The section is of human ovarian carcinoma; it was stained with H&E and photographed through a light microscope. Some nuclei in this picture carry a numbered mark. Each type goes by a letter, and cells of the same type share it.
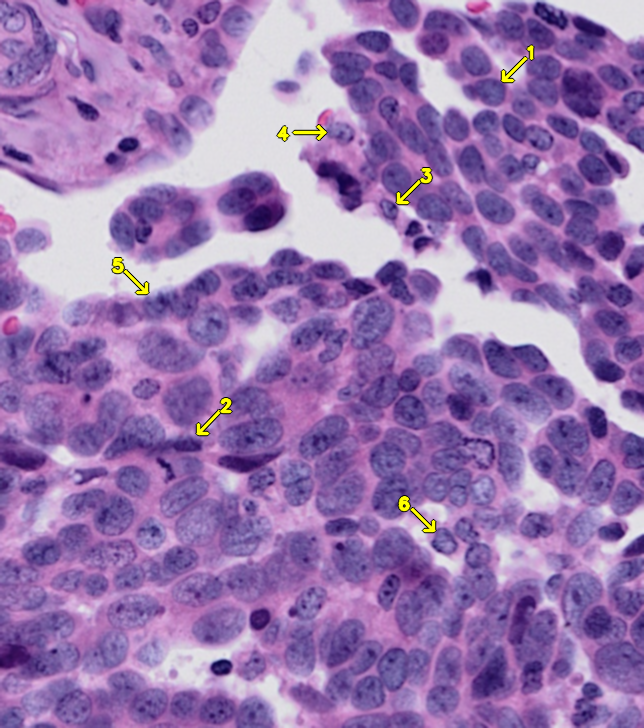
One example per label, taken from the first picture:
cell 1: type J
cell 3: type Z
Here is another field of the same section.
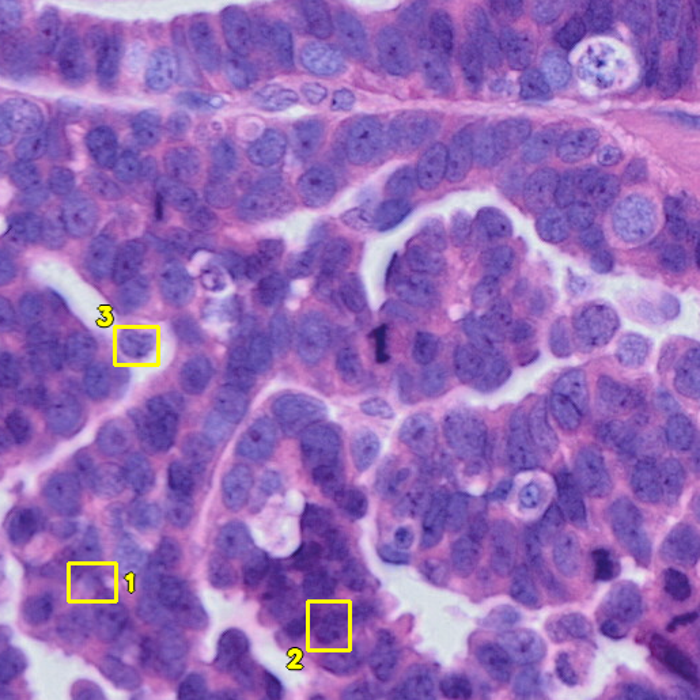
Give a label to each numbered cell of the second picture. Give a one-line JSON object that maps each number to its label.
{"1": "type J", "2": "type J", "3": "type Z"}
